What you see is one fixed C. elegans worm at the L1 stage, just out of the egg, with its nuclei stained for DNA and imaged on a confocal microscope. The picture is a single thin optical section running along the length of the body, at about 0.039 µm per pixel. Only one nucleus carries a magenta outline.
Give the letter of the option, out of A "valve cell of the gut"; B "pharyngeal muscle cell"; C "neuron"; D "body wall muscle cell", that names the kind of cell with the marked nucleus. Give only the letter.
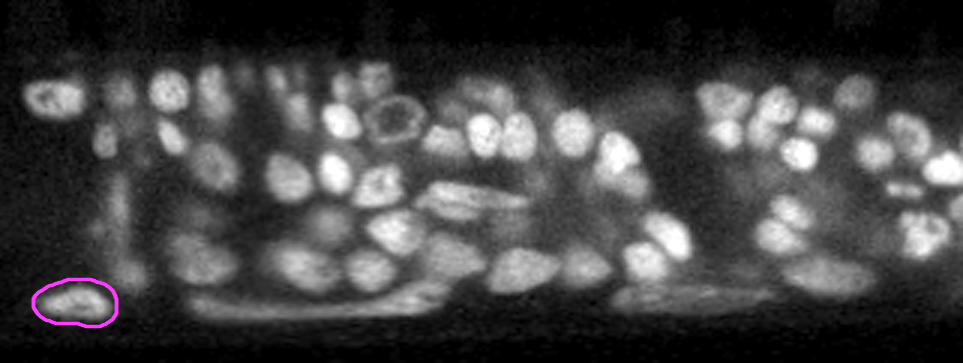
D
